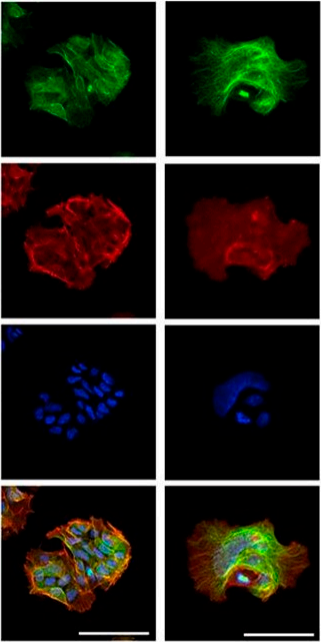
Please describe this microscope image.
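Clusters of cultured cells are shown in two columns, each as green, red and blue channels and a merged image. In the left column a fine green filament network and a bright red rim outline a cluster holding many small oval blue nuclei. In the right column the green filaments form a denser, more tangled meshwork, the red is fainter and more diffuse, fewer and more irregular nuclei are seen, and a small intensely green body lies near the centre.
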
